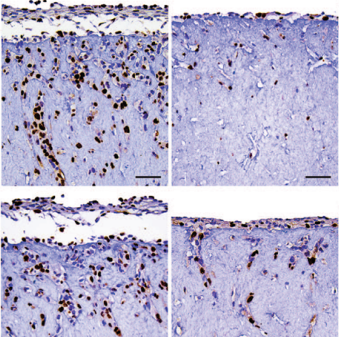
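Many nuclei are stained dark brown, both near the surface and among cells lying within the matrix, while other nuclei are only blue. The brown-stained nuclei are more numerous and more densely grouped in the left column than in the right.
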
